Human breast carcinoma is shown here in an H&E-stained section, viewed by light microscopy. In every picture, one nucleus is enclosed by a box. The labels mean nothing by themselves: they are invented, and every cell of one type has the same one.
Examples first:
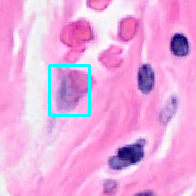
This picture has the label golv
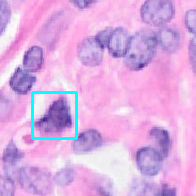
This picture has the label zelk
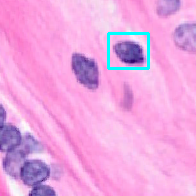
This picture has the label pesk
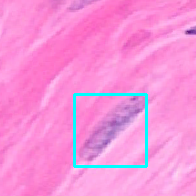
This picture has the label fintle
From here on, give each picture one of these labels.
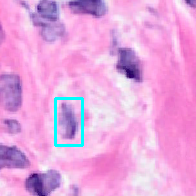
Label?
fintle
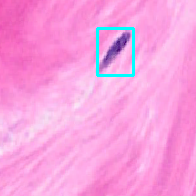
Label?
fintle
